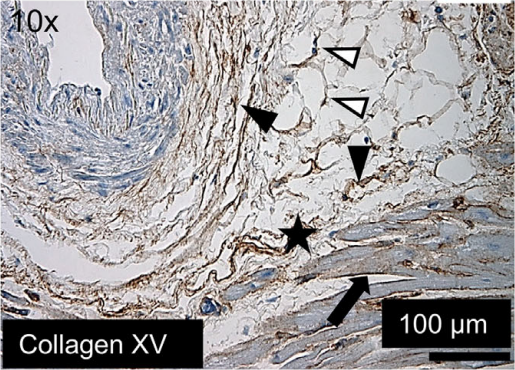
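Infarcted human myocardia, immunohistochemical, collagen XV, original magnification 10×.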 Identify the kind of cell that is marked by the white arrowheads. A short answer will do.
Adipocytes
